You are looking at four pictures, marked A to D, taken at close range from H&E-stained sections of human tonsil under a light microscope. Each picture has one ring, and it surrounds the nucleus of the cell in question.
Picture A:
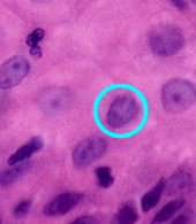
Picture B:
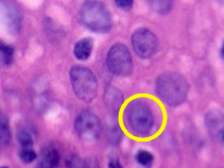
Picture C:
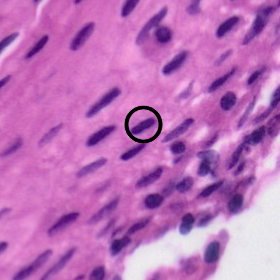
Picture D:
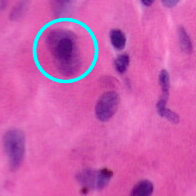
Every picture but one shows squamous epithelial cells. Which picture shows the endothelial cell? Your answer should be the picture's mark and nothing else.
D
